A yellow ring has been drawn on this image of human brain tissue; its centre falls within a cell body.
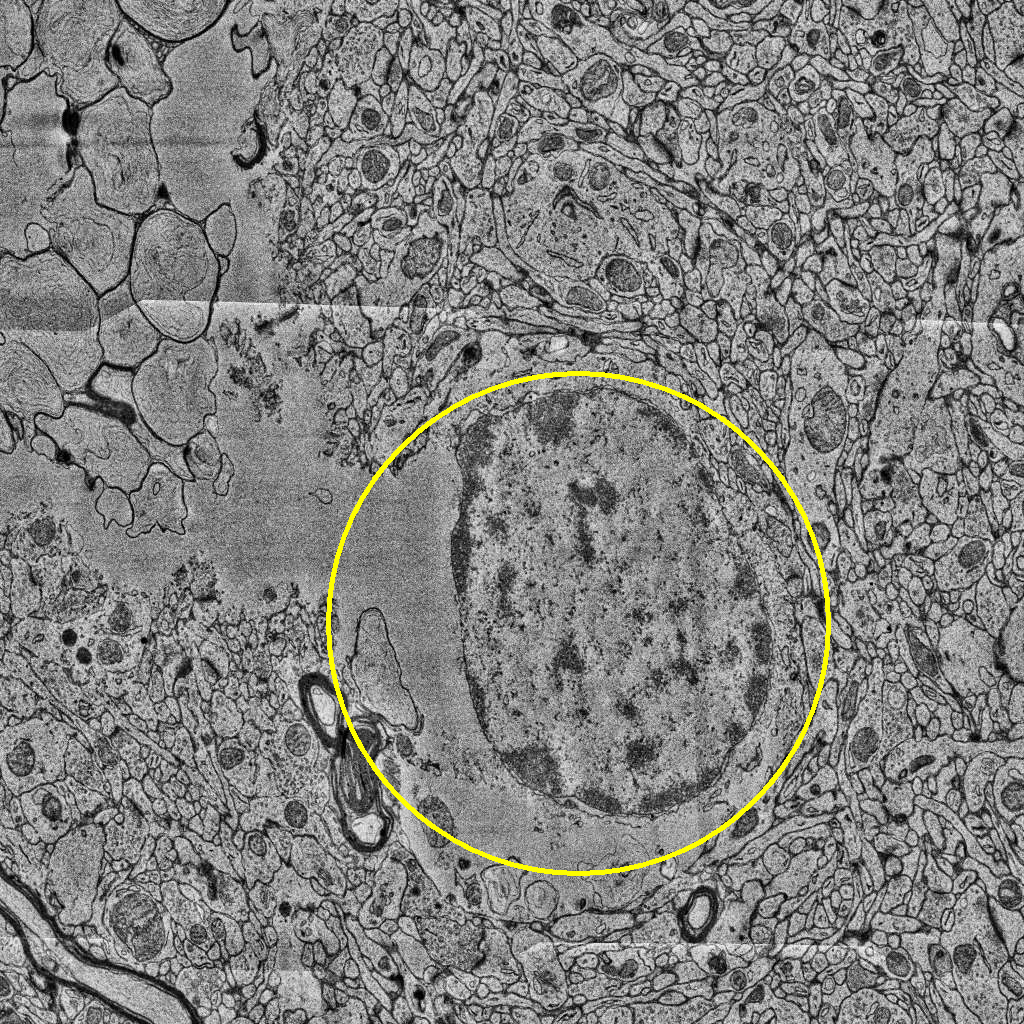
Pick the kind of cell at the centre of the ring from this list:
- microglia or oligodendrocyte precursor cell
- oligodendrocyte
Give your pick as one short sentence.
The centre of the ring holds a microglial cell or oligodendrocyte precursor cell.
